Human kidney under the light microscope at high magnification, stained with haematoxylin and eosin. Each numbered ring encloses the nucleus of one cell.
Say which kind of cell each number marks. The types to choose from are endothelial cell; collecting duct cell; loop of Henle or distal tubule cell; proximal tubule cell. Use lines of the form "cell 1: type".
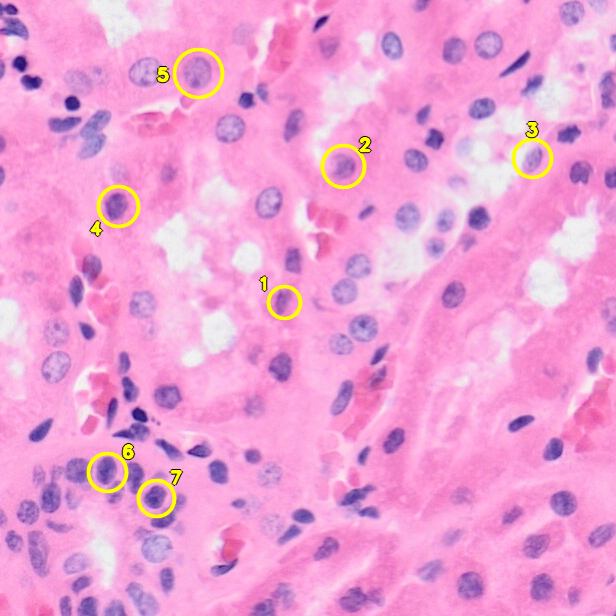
cell 1: proximal tubule cell
cell 2: proximal tubule cell
cell 3: loop of Henle or distal tubule cell
cell 4: proximal tubule cell
cell 5: proximal tubule cell
cell 6: collecting duct cell
cell 7: collecting duct cell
